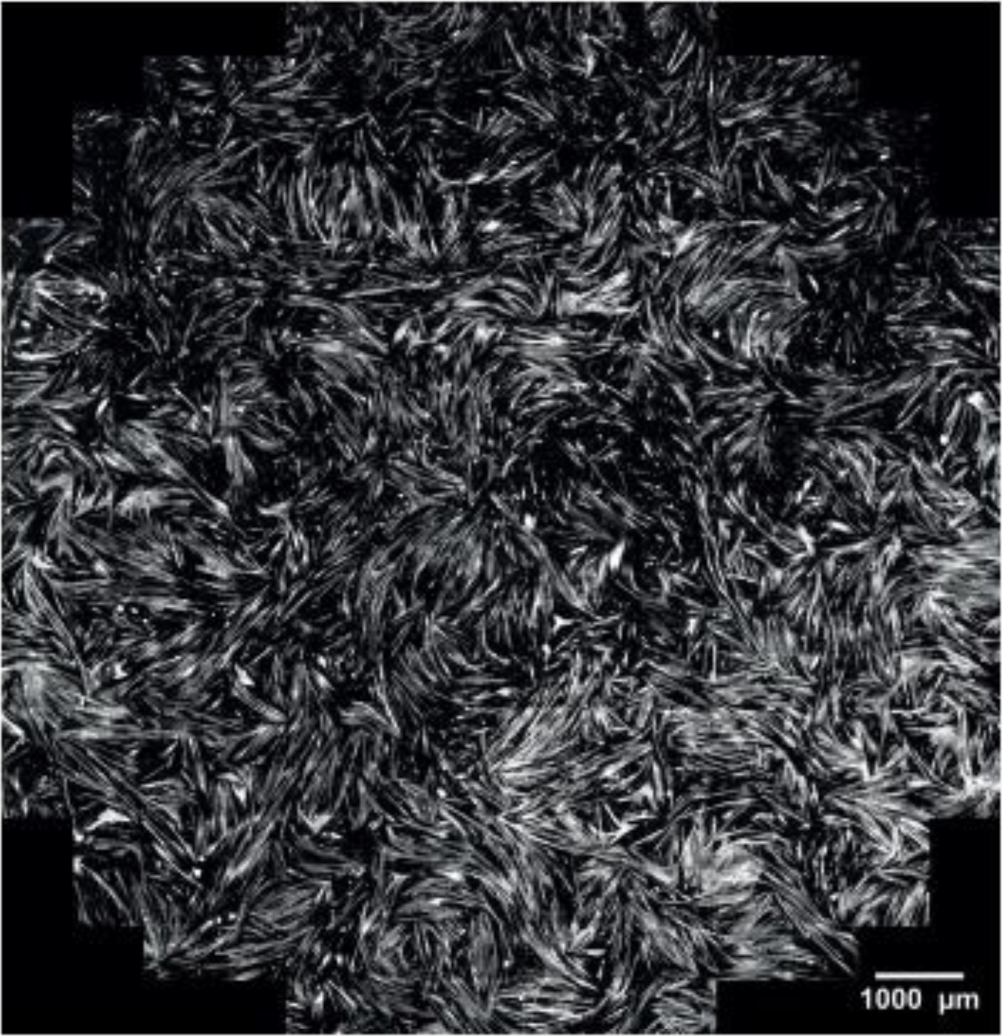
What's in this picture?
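The myotubes are long and slender, many of them far longer than they are wide, with tapering ends. Neighbouring myotubes tend to lie parallel to one another, forming bundles that sweep across the field in swirling, whorled patterns. The stained fibres cover most of the imaged area, with dark gaps between bundles where no stained cells lie. The edge of the imaged region has a stepped outline because it is built from many square tiles.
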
